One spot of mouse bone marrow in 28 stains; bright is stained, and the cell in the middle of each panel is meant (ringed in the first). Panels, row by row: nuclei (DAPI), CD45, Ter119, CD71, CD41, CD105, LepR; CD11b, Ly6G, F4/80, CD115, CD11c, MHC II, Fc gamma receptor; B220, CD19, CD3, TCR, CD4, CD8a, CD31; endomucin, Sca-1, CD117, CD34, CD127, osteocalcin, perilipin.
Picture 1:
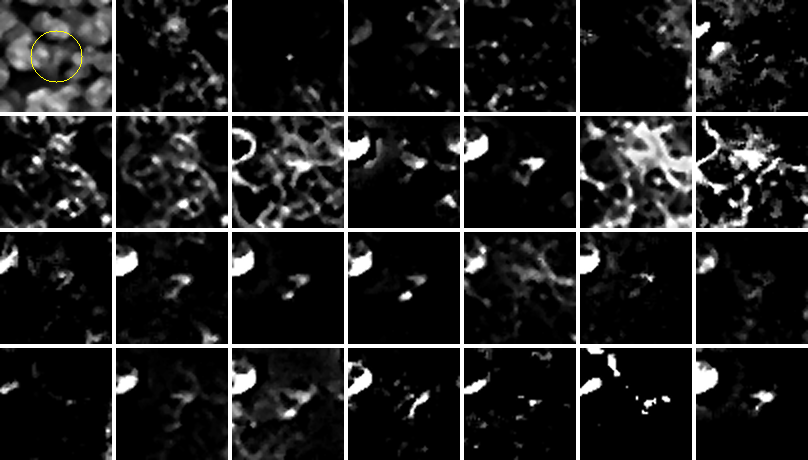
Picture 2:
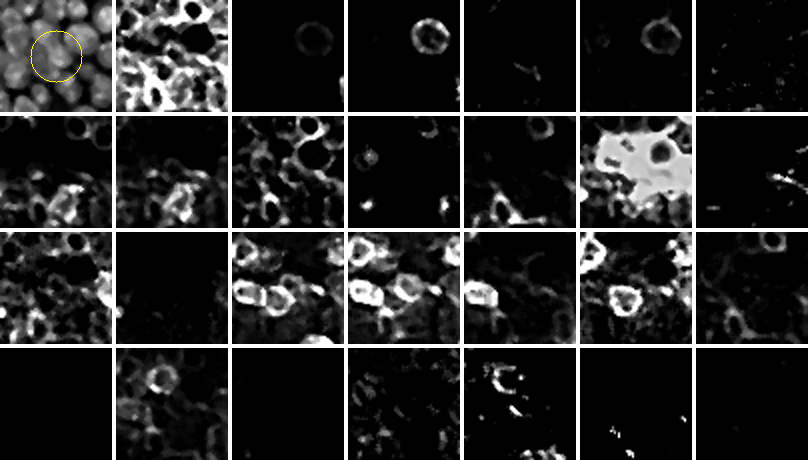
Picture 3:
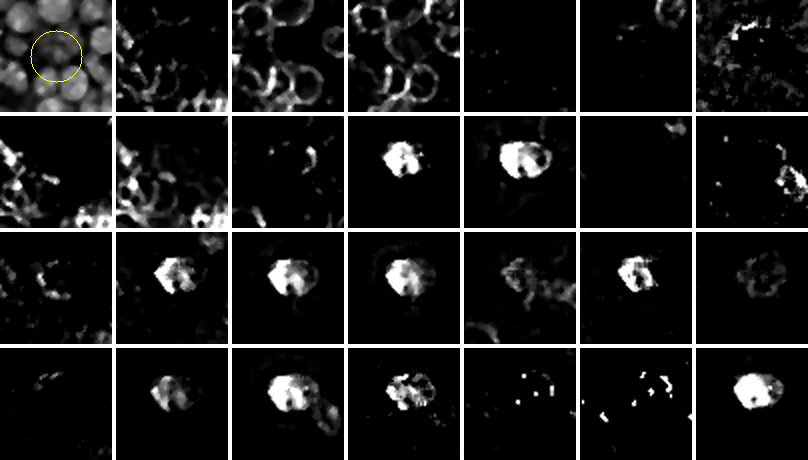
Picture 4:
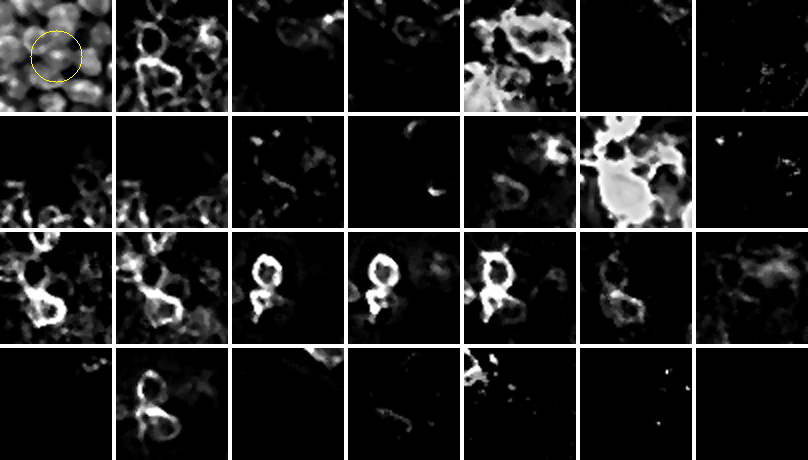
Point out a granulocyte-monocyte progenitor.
That is picture 1.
